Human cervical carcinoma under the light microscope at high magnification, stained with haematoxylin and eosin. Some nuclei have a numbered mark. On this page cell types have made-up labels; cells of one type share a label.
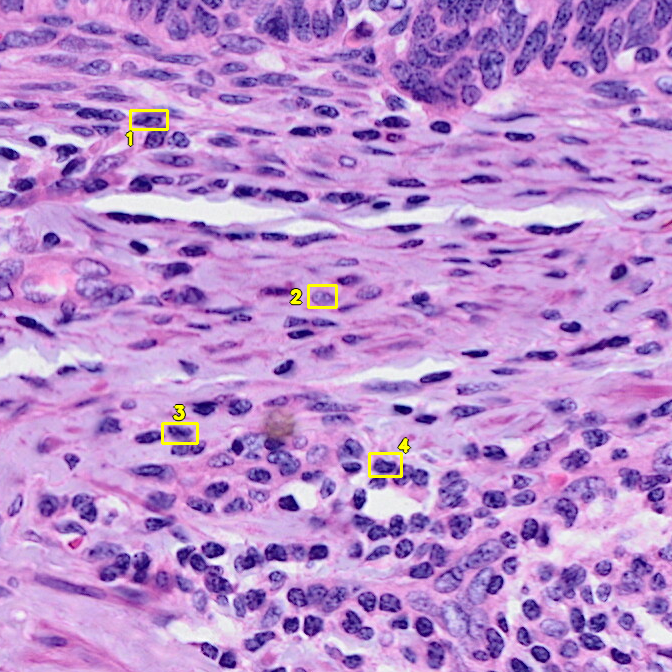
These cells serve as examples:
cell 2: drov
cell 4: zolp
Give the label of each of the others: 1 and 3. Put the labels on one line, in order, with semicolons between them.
zolp; zolp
